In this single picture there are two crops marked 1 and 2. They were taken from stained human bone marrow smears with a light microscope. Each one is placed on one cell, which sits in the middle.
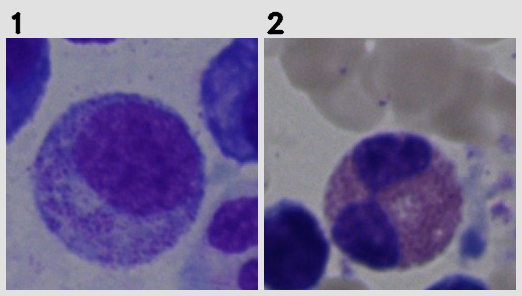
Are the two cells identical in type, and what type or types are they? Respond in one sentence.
No, a myelocyte lies at the centre of crop 1, and an eosinophil lies at the centre of crop 2.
